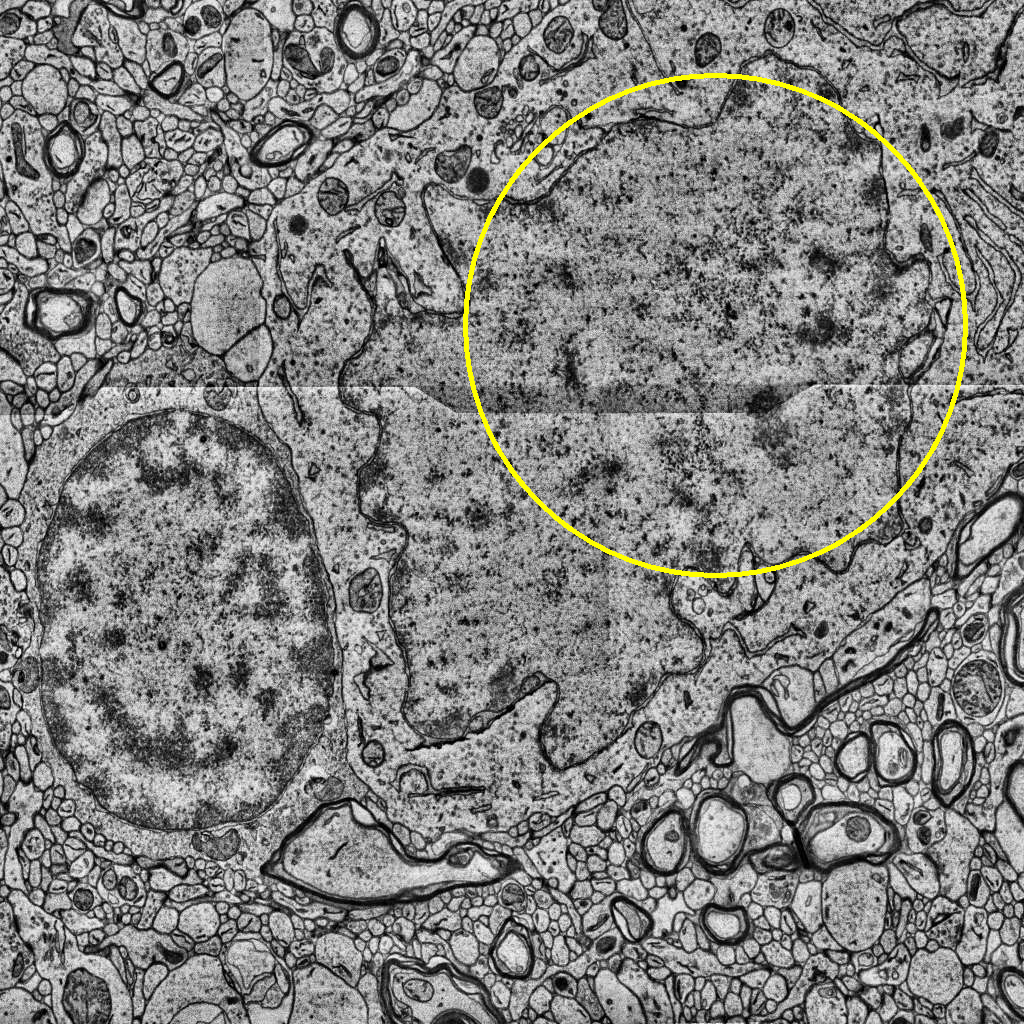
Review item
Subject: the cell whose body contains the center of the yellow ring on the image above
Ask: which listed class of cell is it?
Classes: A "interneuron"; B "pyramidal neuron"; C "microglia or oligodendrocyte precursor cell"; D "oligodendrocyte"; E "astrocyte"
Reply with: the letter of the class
A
